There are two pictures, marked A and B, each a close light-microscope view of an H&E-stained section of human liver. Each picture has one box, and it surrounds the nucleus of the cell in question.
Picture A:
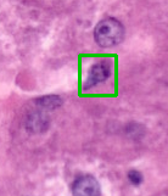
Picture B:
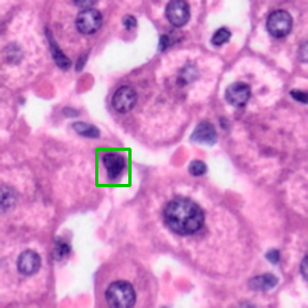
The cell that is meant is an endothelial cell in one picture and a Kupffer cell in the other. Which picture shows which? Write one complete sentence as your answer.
The cell in picture A is an endothelial cell, and the one in picture B is a Kupffer cell.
